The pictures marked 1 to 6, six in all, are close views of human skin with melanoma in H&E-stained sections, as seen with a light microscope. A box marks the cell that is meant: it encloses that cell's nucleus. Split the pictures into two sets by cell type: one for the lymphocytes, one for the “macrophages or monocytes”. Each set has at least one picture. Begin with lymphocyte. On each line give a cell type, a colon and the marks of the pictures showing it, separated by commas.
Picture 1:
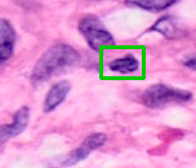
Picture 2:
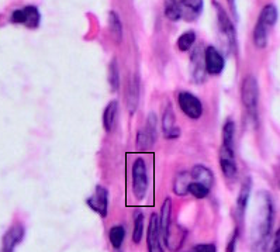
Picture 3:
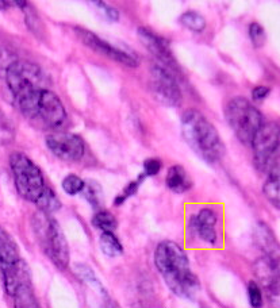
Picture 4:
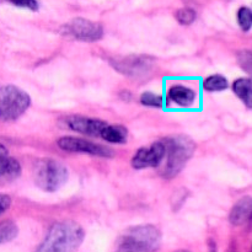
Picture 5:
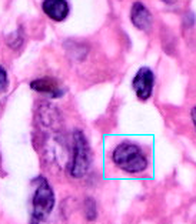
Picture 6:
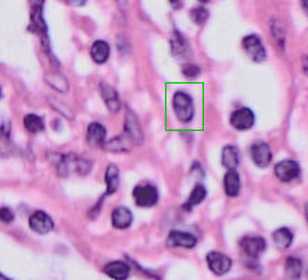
lymphocyte: 1, 2, 4, 6
macrophage or monocyte: 3, 5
